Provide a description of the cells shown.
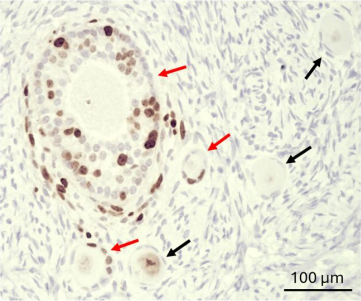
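This is ovarian cortex with follicles of different sizes set in a stroma of spindle-shaped cells. The largest follicle has a big pale oocyte surrounded by several layers of granulosa cells, many of whose nuclei are stained dark brown while others stay blue. Smaller follicles nearby have a pale oocyte with a thin rim of flattened cells, most of them without brown staining. The stromal cells between the follicles are elongated, with slender blue nuclei arranged in loose streams.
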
